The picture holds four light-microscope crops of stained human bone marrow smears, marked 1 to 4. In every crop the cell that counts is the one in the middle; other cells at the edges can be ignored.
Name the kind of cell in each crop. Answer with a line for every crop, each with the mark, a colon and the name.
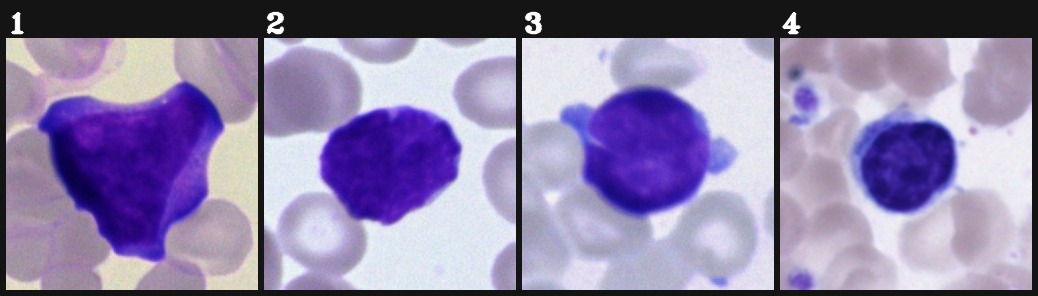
1: blast
2: lymphocyte
3: blast
4: lymphocyte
